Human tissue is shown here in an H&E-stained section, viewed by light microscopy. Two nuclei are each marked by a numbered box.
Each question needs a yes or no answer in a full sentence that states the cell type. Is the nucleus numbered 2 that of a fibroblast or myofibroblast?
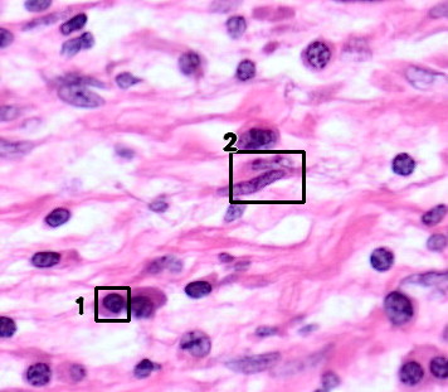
Yes, with respect to number 2, the cell is a fibroblast or myofibroblast.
